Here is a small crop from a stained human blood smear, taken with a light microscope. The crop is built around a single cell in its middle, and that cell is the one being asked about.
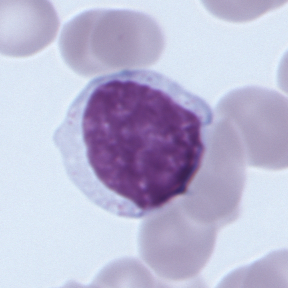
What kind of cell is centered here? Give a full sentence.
The cell in the middle of this crop is a large granular lymphocyte.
